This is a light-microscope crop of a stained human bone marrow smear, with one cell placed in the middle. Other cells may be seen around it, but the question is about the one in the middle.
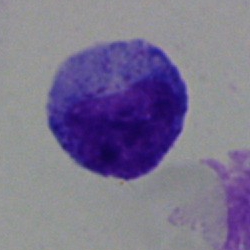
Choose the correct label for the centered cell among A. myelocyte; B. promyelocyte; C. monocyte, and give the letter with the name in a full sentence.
The centrally located cell is a promyelocyte, making option B the correct choice.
